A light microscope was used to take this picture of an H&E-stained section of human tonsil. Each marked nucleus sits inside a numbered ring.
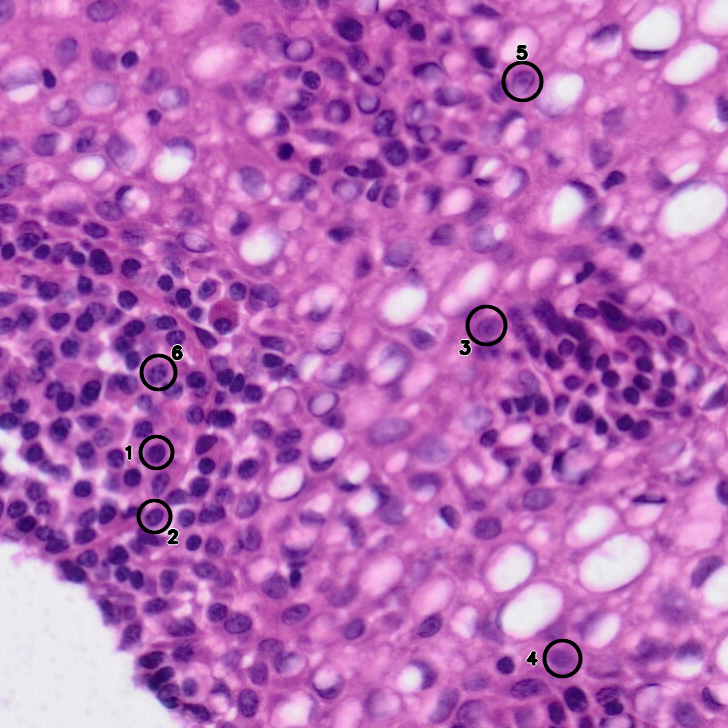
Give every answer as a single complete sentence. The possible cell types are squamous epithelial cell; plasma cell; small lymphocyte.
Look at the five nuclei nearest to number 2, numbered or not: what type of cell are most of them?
Squamous epithelial cells account for more than half of the five nuclei nearest to number 2.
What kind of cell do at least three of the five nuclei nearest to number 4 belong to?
Squamous epithelial cells make up most of the five nuclei closest to number 4.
